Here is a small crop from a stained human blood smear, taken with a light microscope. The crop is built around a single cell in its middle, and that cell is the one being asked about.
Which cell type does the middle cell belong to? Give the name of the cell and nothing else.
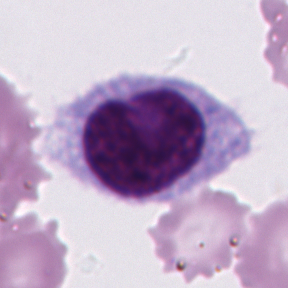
hairy cell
